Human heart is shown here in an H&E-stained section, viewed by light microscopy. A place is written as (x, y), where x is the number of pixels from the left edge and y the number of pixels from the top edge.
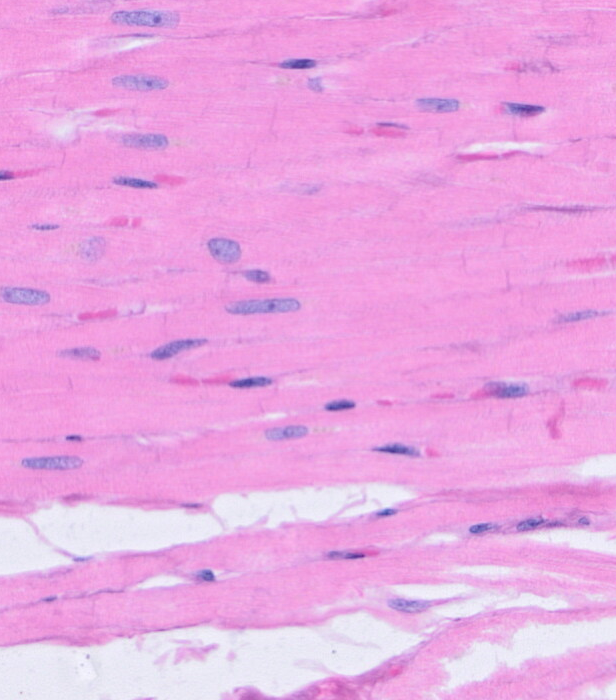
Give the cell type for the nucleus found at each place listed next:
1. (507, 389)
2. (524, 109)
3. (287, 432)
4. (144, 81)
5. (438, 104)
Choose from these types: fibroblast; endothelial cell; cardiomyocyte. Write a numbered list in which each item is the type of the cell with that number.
1. endothelial cell
2. endothelial cell
3. cardiomyocyte
4. cardiomyocyte
5. cardiomyocyte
